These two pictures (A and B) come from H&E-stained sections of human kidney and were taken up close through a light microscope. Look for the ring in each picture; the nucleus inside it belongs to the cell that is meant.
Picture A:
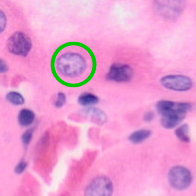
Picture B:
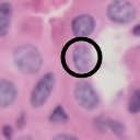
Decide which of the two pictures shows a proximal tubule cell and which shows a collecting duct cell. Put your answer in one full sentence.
The cell in picture A is a proximal tubule cell, and the one in picture B is a collecting duct cell.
